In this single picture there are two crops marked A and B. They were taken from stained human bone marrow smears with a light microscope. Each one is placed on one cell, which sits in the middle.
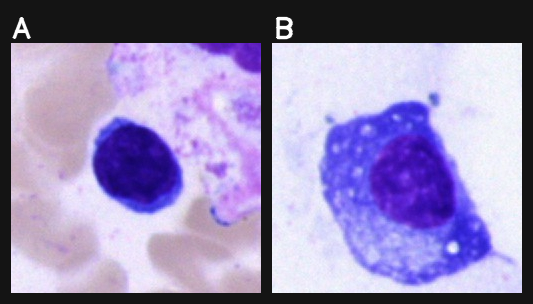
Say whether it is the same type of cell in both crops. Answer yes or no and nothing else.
no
